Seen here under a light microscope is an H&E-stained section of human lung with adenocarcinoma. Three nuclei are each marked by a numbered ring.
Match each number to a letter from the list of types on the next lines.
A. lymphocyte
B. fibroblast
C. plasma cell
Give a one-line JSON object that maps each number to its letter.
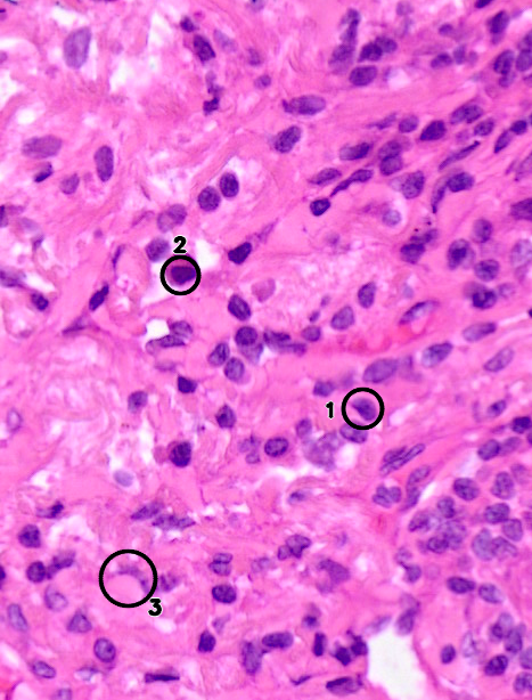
{"1": "A", "2": "C", "3": "B"}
